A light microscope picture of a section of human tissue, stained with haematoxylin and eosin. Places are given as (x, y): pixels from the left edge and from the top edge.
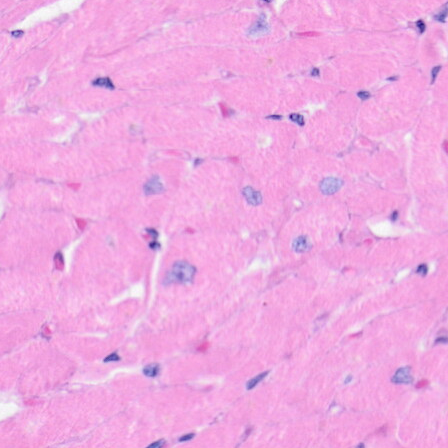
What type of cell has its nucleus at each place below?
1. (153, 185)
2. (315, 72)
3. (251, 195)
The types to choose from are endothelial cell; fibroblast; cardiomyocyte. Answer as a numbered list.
1. cardiomyocyte
2. endothelial cell
3. cardiomyocyte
